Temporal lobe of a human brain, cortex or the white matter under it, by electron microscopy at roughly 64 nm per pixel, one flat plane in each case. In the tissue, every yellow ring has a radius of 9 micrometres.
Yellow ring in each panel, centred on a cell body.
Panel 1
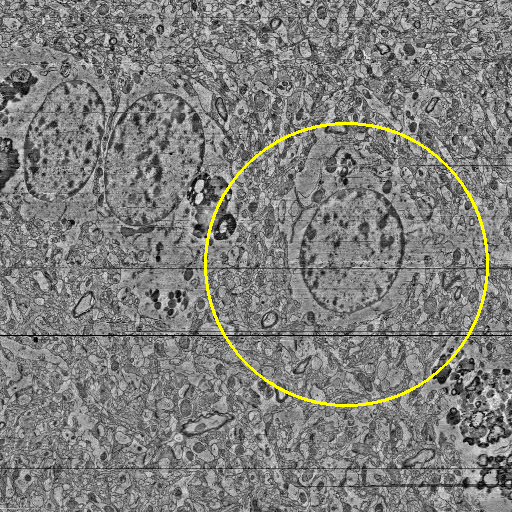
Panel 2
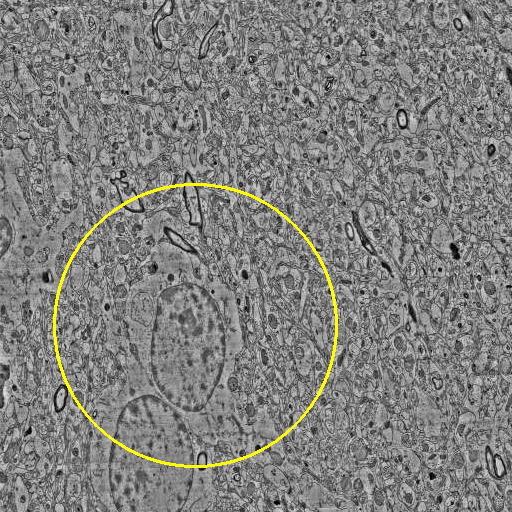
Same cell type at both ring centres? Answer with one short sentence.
Yes, both cells are of the same type.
